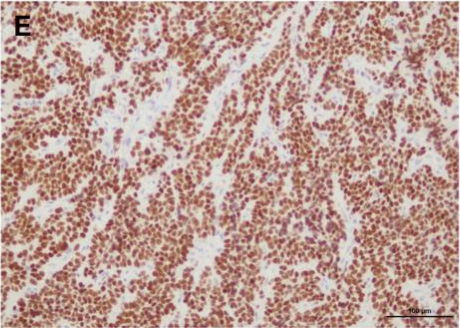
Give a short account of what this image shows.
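This is a section of tumor tissue in which almost every tumor cell is stained a strong brown. The brown cells are packed into broad sheets and branching cords. These are separated by thin, pale stromal strands that hold a few blue-counterstained nuclei. The stained cells are small and rounded and look much alike in size. Within the sheets there are only few unstained cells.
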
